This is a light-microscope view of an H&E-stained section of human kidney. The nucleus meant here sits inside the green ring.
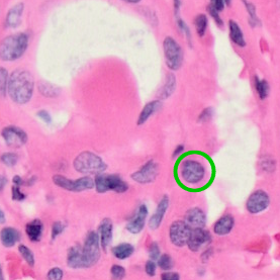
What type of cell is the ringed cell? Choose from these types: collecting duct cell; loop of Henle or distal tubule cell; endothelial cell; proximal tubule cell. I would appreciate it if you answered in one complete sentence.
Considered by cell type, the ringed cell is a loop of Henle or distal tubule cell.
